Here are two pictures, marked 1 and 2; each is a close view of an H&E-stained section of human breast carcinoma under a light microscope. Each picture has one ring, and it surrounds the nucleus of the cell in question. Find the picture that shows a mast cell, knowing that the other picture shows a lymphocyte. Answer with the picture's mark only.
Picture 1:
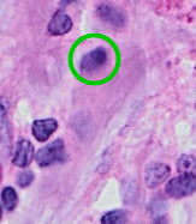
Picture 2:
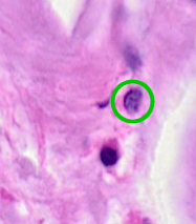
2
